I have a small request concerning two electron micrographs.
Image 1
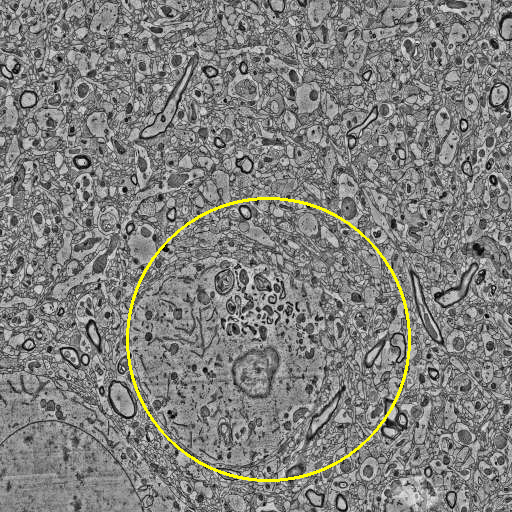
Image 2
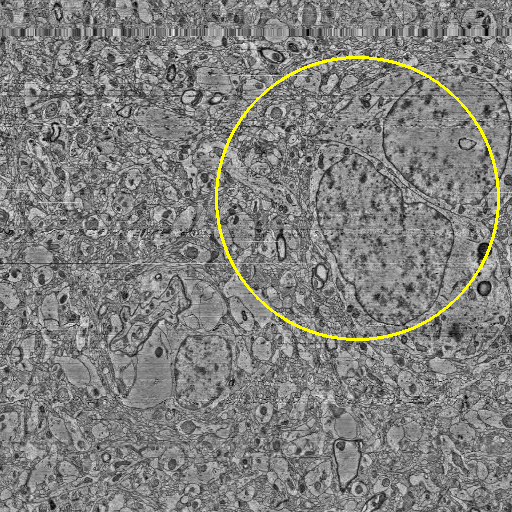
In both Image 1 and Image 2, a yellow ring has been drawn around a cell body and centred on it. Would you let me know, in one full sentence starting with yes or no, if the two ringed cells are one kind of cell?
Yes, the cells ringed in Image 1 and Image 2 are one kind of cell.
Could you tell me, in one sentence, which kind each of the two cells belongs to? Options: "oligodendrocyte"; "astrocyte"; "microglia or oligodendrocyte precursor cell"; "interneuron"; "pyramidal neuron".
Each of the two cells is a pyramidal neuron.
